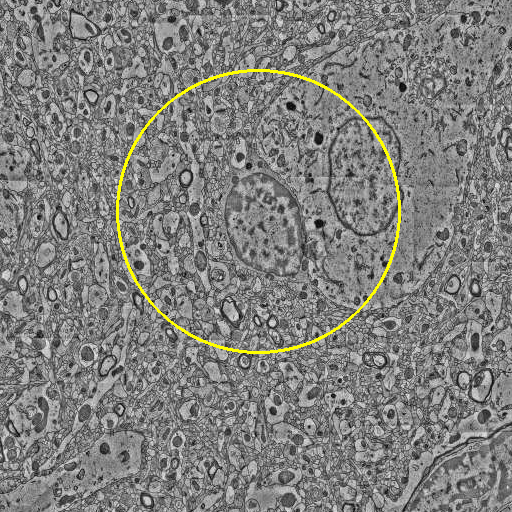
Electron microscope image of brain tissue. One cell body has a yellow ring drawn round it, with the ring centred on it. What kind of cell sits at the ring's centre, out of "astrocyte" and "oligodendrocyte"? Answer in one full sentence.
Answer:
It is an oligodendrocyte whose cell body sits at the centre of the yellow ring.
